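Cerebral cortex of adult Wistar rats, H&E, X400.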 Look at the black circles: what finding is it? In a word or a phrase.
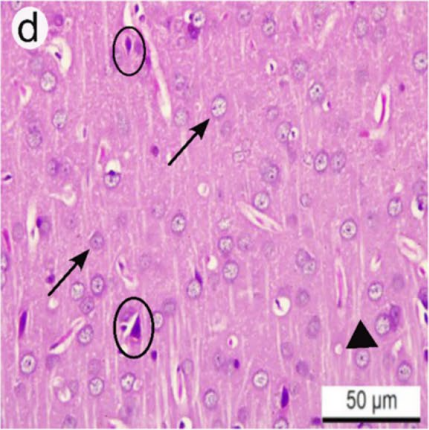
pyknotic neurons with pericellular space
